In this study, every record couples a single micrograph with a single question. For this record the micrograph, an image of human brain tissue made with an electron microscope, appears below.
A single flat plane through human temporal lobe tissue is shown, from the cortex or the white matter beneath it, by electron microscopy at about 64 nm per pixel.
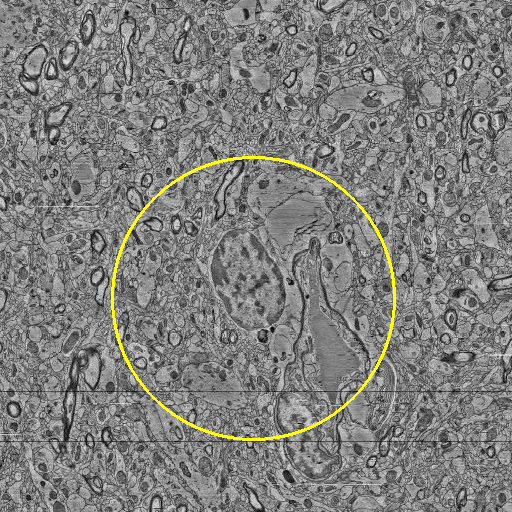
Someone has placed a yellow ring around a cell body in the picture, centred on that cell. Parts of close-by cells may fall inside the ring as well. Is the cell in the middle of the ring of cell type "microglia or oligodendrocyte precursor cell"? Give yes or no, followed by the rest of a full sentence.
Yes, the cell centred in the ring shown in the picture does have that cell type.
